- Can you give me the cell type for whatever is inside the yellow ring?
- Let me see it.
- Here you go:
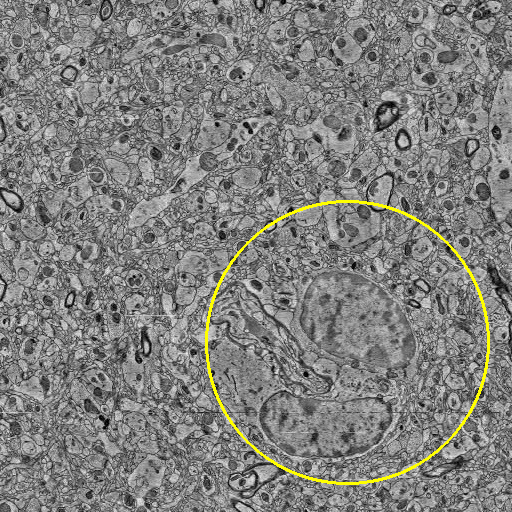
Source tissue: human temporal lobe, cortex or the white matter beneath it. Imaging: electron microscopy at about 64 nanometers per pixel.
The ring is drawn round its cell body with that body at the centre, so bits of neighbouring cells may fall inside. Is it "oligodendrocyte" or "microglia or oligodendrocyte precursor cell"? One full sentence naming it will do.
The cell body in the middle of the ring in this picture belongs to an oligodendrocyte.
